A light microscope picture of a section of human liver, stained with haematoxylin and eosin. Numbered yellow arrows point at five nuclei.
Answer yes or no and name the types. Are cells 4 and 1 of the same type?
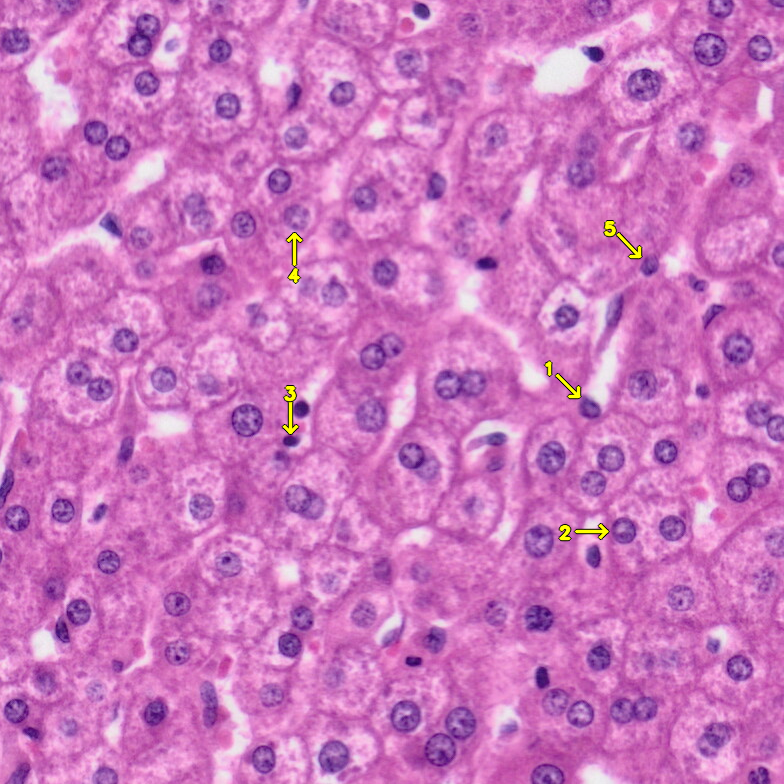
No, cell 4 is a hepatocyte, and in contrast cell 1 is an endothelial cell.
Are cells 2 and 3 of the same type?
No, that's wrong; cell 2 is a hepatocyte and cell 3 is a lymphocyte.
